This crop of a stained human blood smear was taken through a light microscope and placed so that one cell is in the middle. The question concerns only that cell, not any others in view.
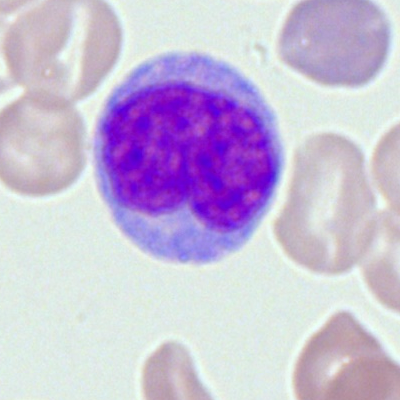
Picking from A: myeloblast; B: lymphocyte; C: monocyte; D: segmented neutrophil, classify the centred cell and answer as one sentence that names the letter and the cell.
Option C, which names the central cell as a monocyte, is correct.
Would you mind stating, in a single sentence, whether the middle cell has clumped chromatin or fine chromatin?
Chromatin in the nucleus here is coarsely clumped.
